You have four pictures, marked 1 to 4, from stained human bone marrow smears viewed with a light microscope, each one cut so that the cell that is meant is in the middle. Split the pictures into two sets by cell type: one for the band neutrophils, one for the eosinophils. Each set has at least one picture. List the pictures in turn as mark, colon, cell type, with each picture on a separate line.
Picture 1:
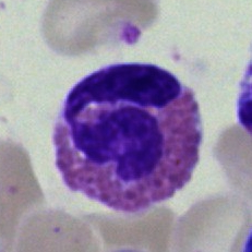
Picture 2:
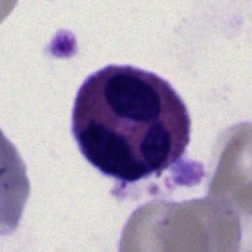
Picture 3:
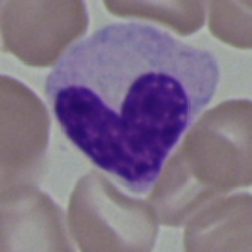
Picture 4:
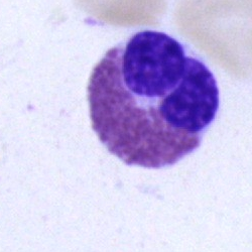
1: eosinophil
2: eosinophil
3: band neutrophil
4: eosinophil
